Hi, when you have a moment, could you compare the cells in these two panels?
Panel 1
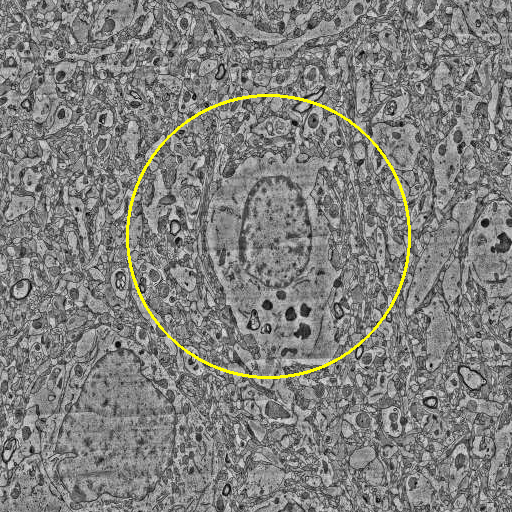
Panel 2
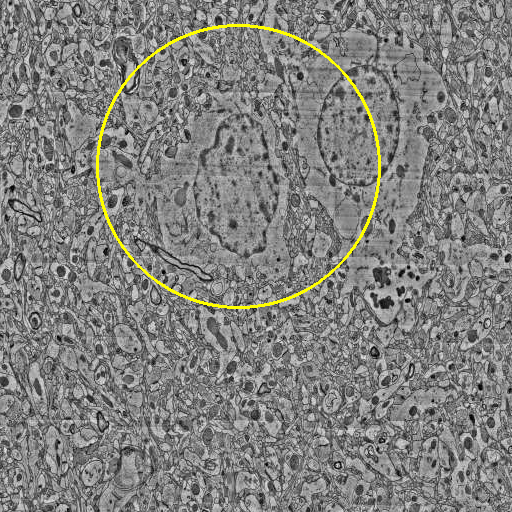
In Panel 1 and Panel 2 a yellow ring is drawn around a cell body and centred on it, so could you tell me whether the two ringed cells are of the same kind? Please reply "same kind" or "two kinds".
same kind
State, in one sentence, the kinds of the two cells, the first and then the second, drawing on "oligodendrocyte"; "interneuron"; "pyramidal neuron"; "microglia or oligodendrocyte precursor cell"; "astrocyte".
The cell at the ring centre is an astrocyte in both pictures.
